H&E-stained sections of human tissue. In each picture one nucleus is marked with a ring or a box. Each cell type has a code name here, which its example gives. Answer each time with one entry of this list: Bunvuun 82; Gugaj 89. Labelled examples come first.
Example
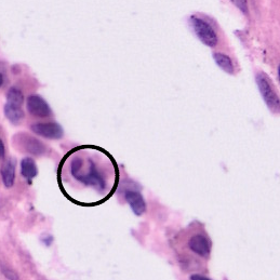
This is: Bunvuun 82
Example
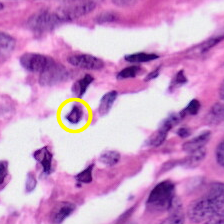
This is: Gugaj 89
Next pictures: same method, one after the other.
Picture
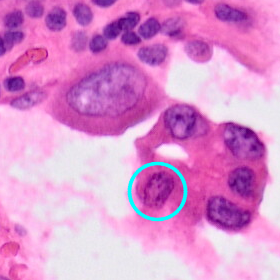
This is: Gugaj 89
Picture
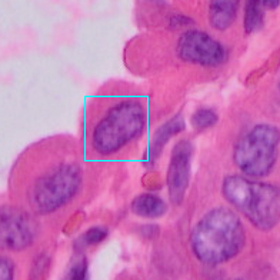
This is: Gugaj 89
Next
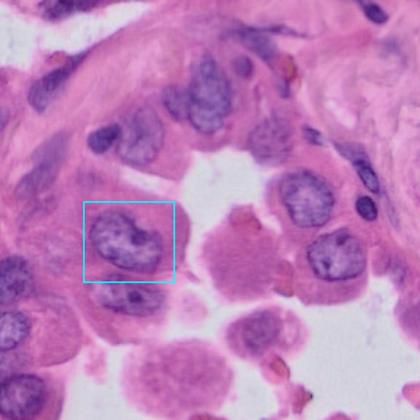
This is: Gugaj 89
